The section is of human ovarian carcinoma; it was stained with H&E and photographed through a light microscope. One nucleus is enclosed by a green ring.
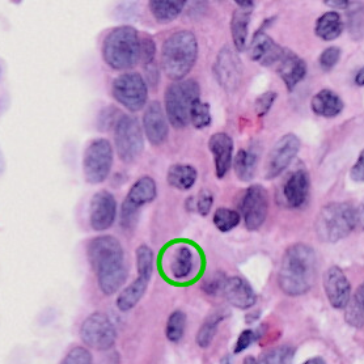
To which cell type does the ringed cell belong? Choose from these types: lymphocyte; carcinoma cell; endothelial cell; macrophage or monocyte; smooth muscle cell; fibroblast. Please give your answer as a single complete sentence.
As a matter of cell type, the ringed cell is a lymphocyte.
